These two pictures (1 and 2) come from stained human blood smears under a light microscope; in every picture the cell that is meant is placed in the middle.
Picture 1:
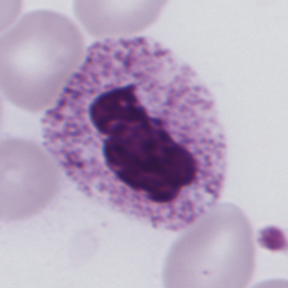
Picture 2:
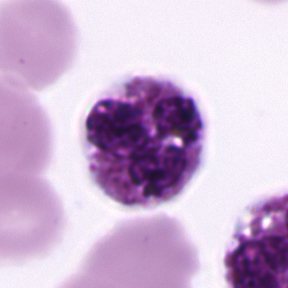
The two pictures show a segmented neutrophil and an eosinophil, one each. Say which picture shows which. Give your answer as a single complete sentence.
The cell in picture 1 is a segmented neutrophil, and the one in picture 2 is an eosinophil.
